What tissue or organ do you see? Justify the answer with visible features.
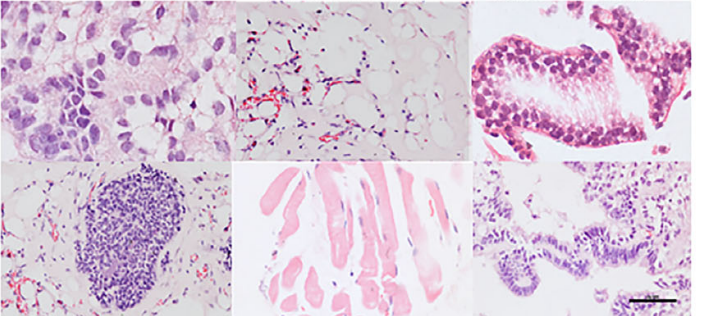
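Several quite different tissues appear side by side in the fields. One field shows a tubular structure lined by a columnar epithelium. One field shows elongated pink-staining fibres. One field shows loose tissue with clear spaces and small vessels containing red cells.
Conclusion: teratoma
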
